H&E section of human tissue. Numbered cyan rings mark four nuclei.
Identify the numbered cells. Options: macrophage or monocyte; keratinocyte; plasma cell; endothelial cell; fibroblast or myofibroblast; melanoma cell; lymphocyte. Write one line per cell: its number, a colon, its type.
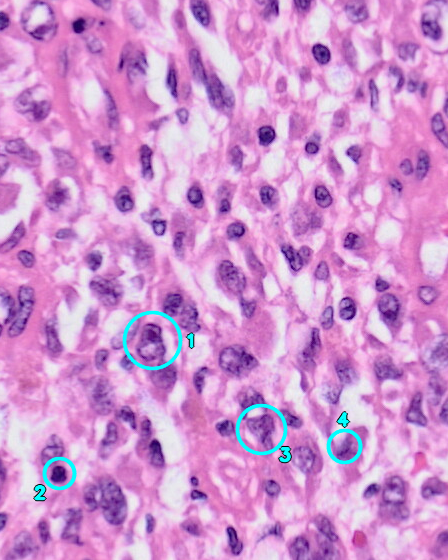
1: melanoma cell
2: lymphocyte
3: melanoma cell
4: melanoma cell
